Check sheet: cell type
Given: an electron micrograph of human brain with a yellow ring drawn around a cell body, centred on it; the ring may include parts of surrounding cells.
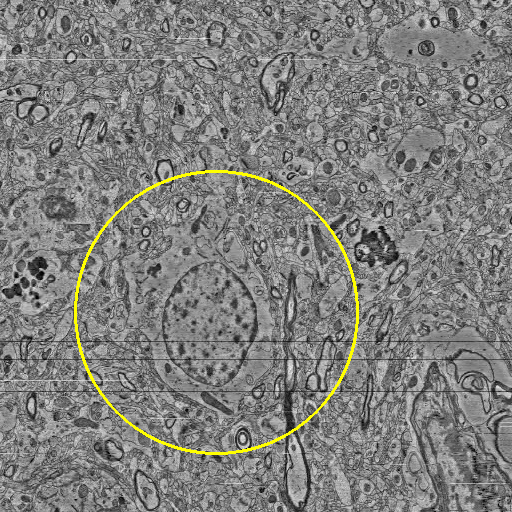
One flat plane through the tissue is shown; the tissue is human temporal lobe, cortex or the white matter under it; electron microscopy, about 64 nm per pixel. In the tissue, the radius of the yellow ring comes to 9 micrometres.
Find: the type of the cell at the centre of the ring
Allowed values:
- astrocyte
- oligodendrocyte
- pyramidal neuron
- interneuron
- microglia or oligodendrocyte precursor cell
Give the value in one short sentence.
Here the ringed cell is an astrocyte.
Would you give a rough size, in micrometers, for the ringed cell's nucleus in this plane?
Roughly 8 by 6 micrometres in this plane, for the nucleus of the ringed cell.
